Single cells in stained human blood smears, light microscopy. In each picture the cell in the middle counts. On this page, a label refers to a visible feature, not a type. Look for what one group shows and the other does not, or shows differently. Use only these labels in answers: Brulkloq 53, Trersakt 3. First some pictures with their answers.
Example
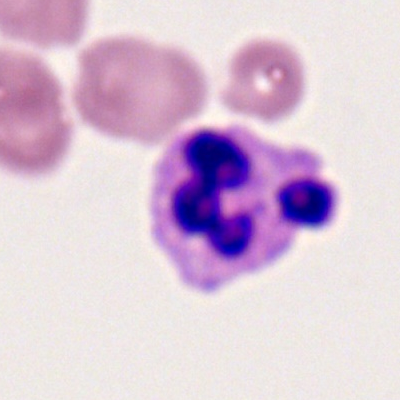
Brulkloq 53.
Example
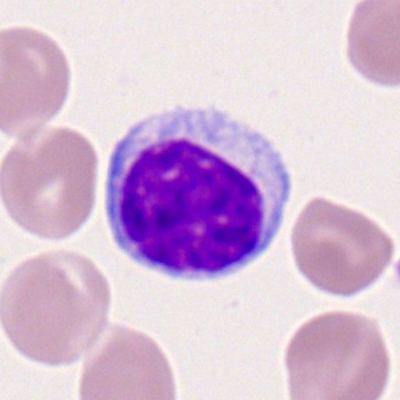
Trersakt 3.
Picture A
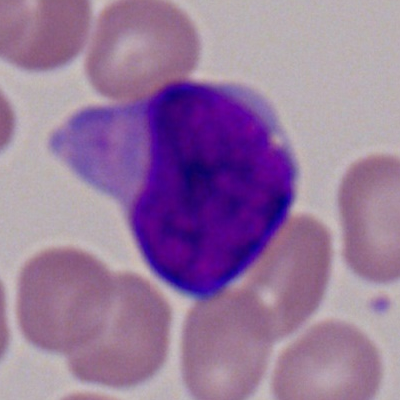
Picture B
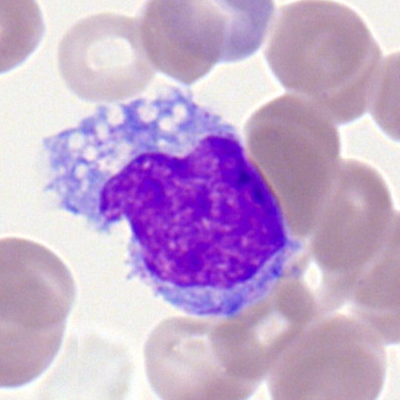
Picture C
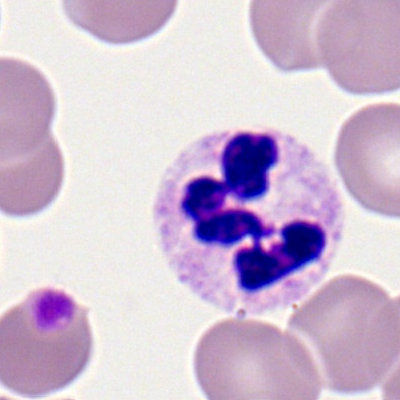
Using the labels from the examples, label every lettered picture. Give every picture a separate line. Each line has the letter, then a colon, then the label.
A: Brulkloq 53.
B: Brulkloq 53.
C: Trersakt 3.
